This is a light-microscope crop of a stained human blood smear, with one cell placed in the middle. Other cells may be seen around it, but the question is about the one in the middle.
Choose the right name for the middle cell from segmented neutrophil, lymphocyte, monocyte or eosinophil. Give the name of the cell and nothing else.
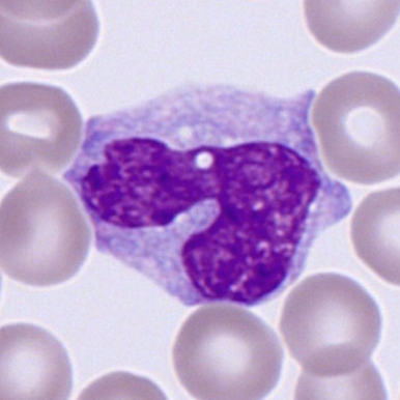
monocyte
